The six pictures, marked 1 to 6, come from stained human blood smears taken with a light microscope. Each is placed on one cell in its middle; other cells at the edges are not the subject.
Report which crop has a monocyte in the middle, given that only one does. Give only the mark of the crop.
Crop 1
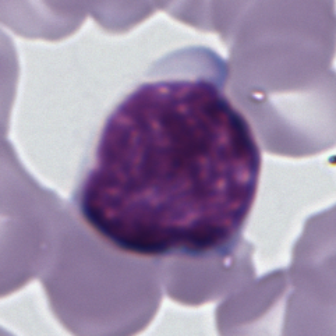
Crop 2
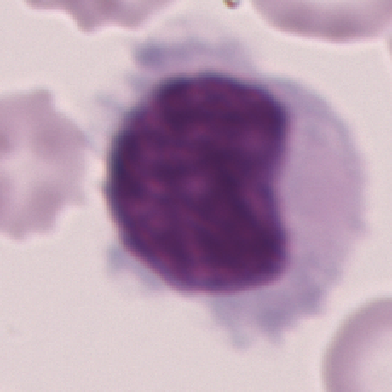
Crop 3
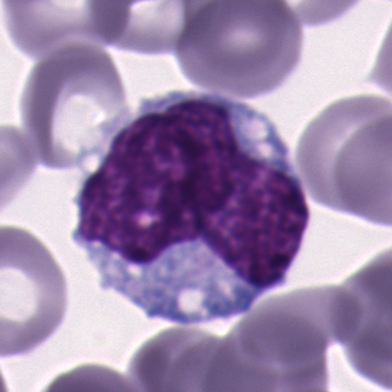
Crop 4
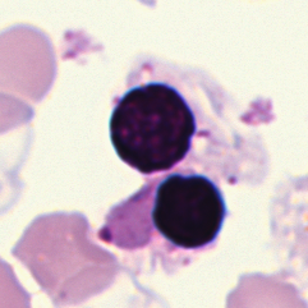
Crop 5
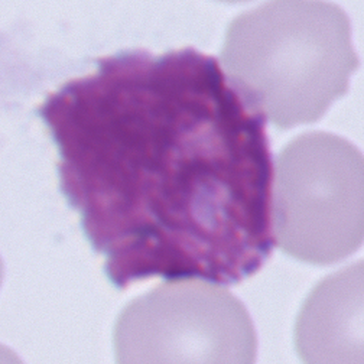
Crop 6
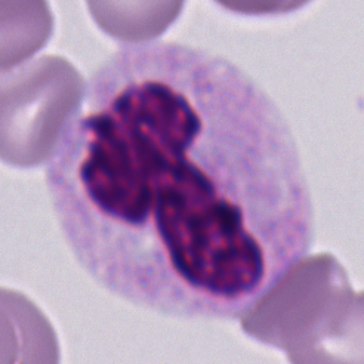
3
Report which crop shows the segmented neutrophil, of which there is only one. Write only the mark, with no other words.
6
